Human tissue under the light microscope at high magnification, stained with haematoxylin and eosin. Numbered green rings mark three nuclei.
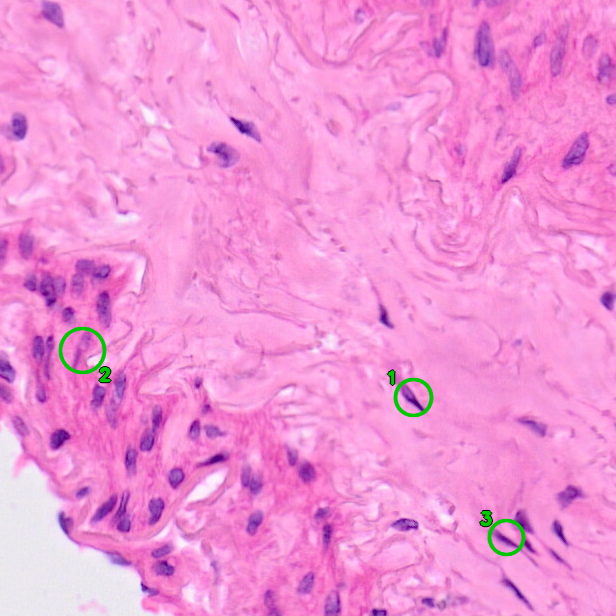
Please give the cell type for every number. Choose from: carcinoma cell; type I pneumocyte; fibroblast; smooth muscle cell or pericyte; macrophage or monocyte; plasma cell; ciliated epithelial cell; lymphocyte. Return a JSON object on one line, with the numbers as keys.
{"1": "fibroblast", "2": "smooth muscle cell or pericyte", "3": "fibroblast"}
